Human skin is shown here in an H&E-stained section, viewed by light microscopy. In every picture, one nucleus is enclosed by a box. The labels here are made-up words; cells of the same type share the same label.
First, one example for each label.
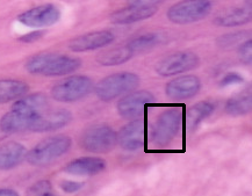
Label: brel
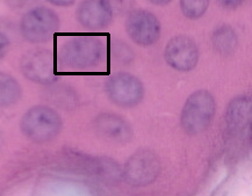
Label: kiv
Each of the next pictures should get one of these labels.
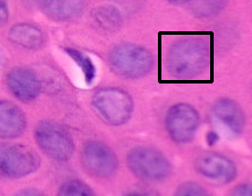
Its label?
kiv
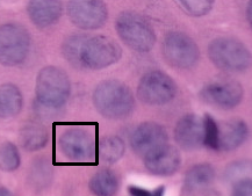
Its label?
kiv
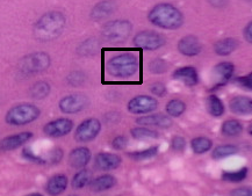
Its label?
kiv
